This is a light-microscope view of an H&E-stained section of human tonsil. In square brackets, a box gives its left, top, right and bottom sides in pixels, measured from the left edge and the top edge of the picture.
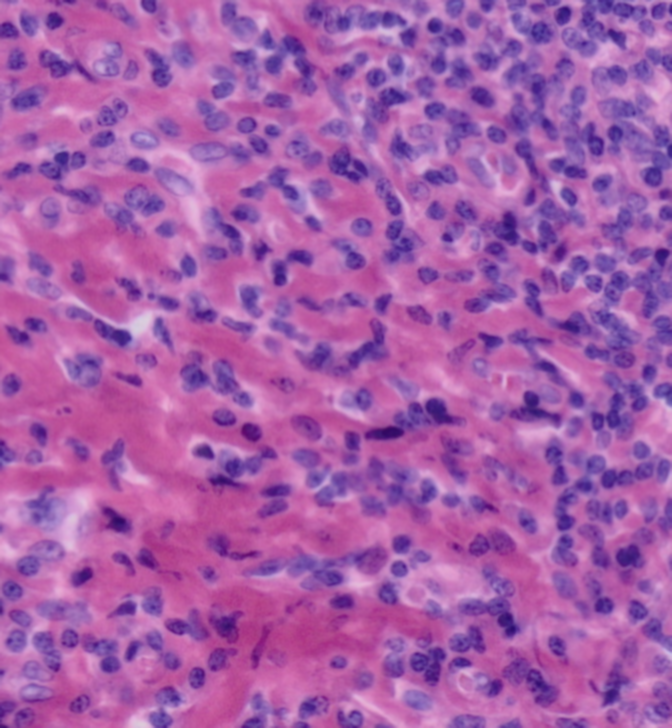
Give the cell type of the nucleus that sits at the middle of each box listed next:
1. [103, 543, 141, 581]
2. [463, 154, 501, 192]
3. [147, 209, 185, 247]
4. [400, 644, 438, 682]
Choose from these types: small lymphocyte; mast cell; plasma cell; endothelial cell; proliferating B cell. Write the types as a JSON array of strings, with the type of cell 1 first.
["mast cell", "endothelial cell", "mast cell", "plasma cell"]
